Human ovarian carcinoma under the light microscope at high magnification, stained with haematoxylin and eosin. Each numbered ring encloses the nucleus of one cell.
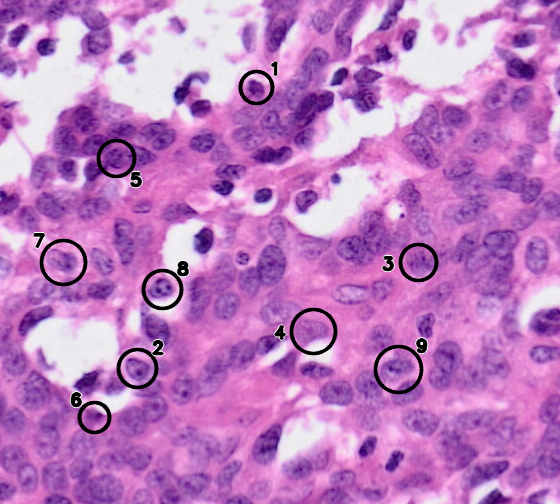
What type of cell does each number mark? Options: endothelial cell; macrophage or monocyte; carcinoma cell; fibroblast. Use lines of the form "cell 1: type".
cell 1: carcinoma cell
cell 2: macrophage or monocyte
cell 3: carcinoma cell
cell 4: carcinoma cell
cell 5: carcinoma cell
cell 6: carcinoma cell
cell 7: macrophage or monocyte
cell 8: macrophage or monocyte
cell 9: macrophage or monocyte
